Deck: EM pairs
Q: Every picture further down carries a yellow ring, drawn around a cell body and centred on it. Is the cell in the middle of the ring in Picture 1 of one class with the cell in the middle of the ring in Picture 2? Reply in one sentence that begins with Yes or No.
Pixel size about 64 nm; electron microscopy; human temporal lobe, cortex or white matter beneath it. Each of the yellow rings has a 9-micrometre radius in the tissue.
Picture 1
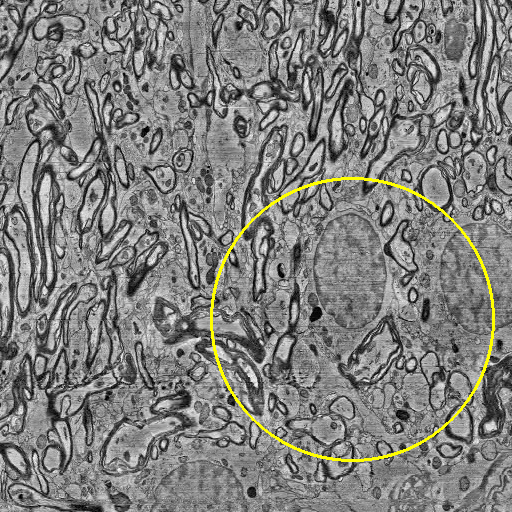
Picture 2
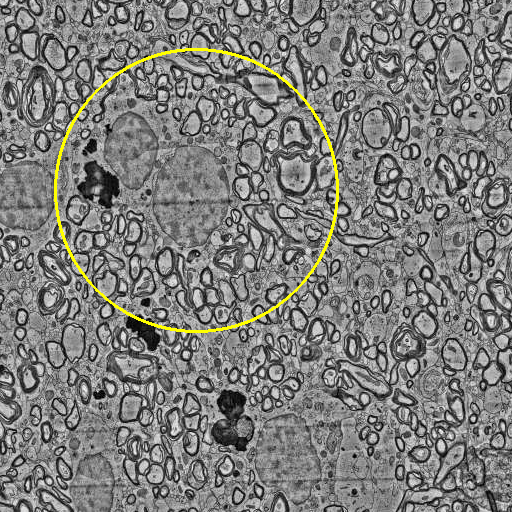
Yes, the cell centred in the ring of Picture 1 and the one in Picture 2 belong to one class.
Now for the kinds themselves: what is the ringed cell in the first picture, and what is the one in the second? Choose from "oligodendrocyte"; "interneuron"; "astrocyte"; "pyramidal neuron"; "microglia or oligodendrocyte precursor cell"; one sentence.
Each one of the two ringed cells is an oligodendrocyte.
